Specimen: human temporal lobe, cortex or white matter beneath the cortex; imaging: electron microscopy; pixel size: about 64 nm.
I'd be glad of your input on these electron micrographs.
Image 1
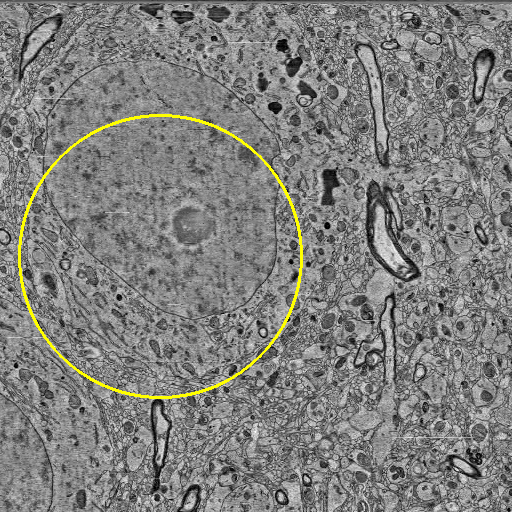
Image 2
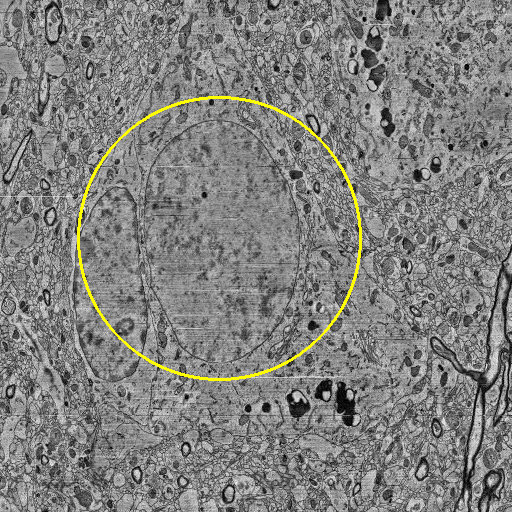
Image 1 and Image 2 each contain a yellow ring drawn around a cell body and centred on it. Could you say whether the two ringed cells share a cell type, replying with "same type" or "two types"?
same type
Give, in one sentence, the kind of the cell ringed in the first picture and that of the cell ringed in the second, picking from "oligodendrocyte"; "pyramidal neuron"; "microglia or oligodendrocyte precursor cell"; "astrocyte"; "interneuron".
Each cell at the centre of a ring is a pyramidal neuron.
